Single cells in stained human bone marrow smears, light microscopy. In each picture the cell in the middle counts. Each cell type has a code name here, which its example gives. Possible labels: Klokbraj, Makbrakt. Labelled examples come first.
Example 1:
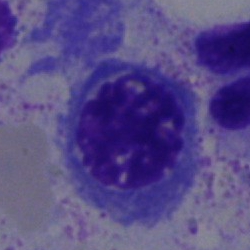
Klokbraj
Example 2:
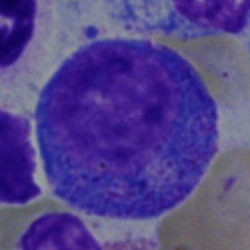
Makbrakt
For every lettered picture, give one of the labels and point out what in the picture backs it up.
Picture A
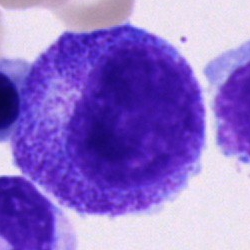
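Makbrakt. Many fine reddish-purple granules are scattered through the cytoplasm.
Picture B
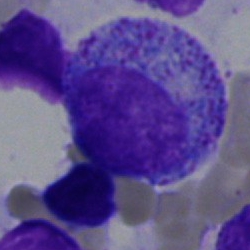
Makbrakt. The chromatin looks finely granular and evenly spread rather than coarsely clumped.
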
